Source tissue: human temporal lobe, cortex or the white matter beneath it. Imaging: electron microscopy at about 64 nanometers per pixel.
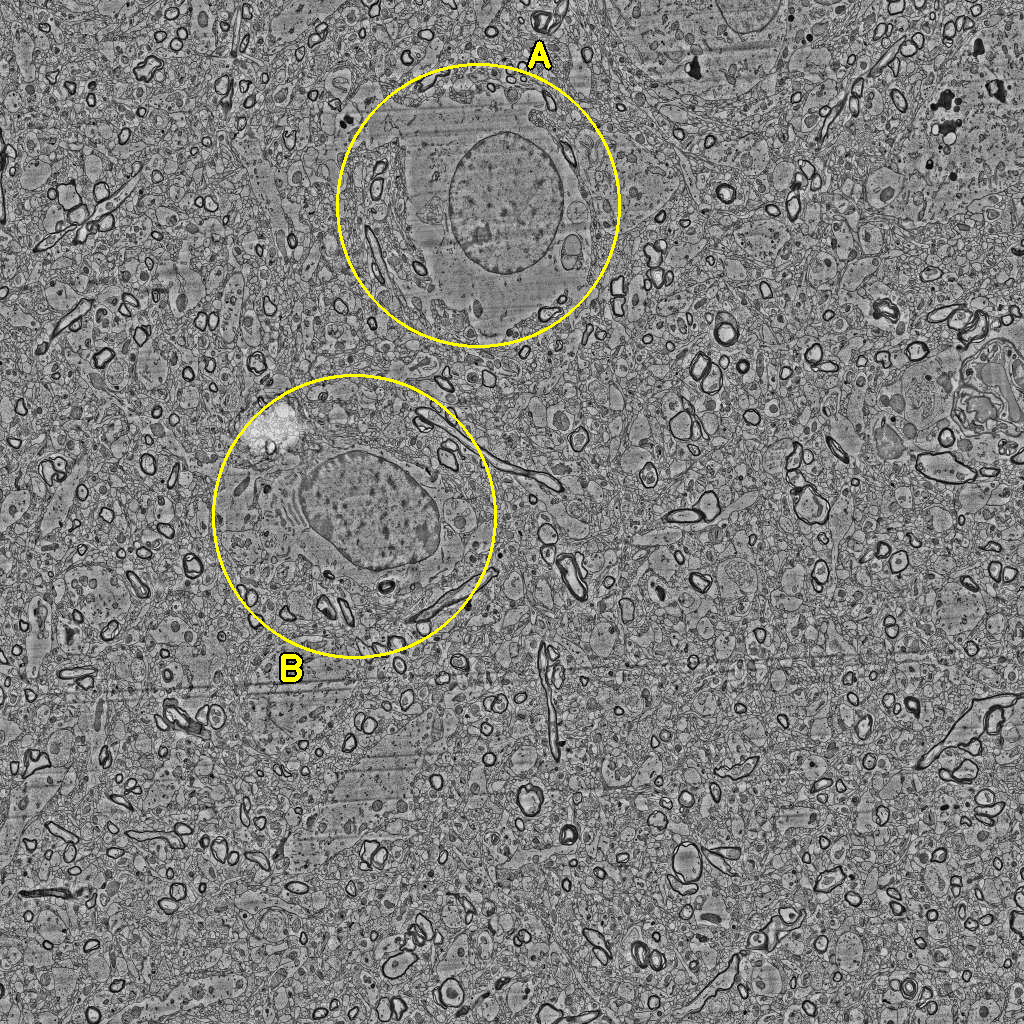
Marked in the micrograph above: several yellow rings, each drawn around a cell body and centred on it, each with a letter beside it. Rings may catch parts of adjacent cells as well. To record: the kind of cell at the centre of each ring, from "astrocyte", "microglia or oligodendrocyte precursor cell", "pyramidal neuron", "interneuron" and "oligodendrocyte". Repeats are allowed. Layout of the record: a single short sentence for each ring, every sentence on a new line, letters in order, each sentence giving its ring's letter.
At the centre of ring A lies an astrocyte.
At the centre of ring B lies a microglial cell or oligodendrocyte precursor cell.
